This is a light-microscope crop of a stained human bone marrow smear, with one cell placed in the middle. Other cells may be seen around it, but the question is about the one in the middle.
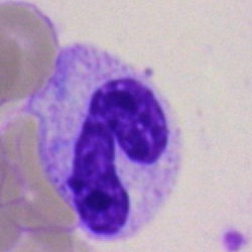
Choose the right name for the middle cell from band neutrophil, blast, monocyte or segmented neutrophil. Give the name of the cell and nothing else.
band neutrophil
